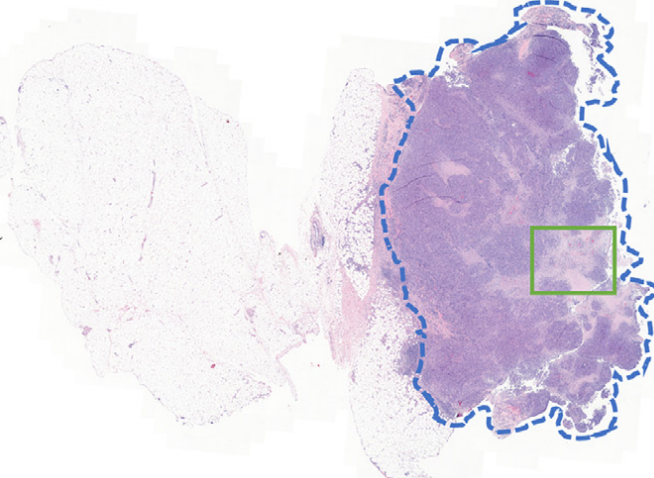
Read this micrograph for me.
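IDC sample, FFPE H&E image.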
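The adipose tissue appears as a fine mesh of thin pink septa around empty, rounded fat spaces, with few nuclei. Between the two lies a band of pink fibrous tissue. The tumor region stains deep purple, showing densely packed cells, and has an irregular, lobulated border. Within it are scattered pale pink patches with fewer nuclei, most prominent toward its right edge. Individual cells cannot be resolved at this scale.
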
